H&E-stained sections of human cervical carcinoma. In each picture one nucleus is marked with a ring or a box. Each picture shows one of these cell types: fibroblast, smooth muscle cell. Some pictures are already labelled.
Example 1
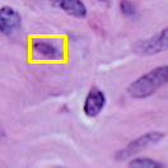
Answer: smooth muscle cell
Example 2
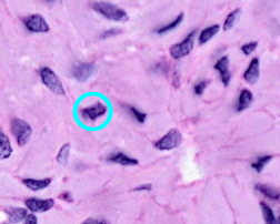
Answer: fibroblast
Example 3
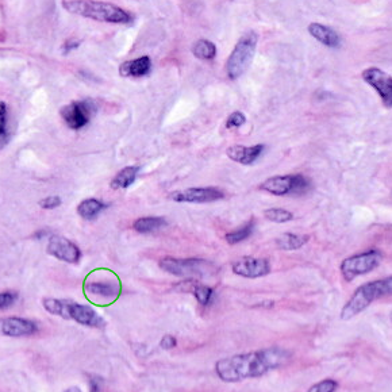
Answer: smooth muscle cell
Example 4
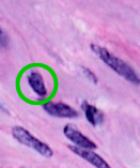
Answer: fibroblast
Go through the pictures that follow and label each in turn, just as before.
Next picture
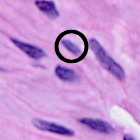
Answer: fibroblast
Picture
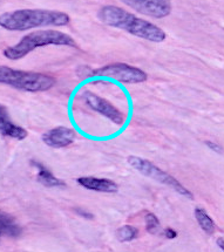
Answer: smooth muscle cell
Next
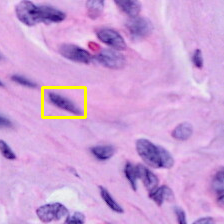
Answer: fibroblast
